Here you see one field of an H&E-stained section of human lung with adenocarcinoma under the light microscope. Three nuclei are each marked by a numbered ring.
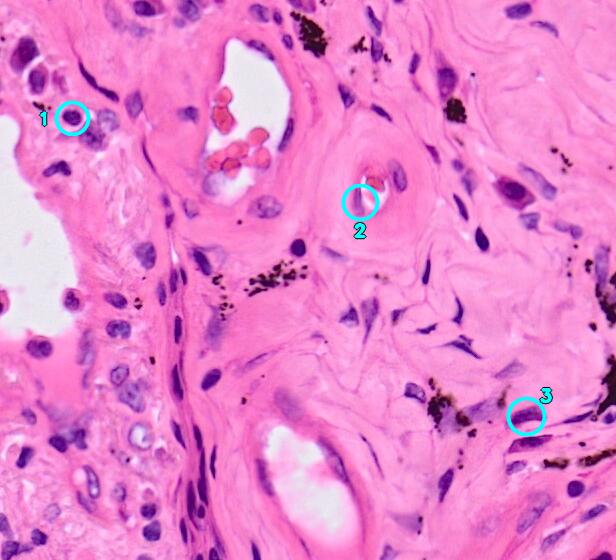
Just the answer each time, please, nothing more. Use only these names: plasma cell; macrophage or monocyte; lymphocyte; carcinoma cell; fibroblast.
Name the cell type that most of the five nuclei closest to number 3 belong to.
fibroblast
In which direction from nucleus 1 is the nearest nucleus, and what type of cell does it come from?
a plasma cell; below and to the right of nucleus 1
